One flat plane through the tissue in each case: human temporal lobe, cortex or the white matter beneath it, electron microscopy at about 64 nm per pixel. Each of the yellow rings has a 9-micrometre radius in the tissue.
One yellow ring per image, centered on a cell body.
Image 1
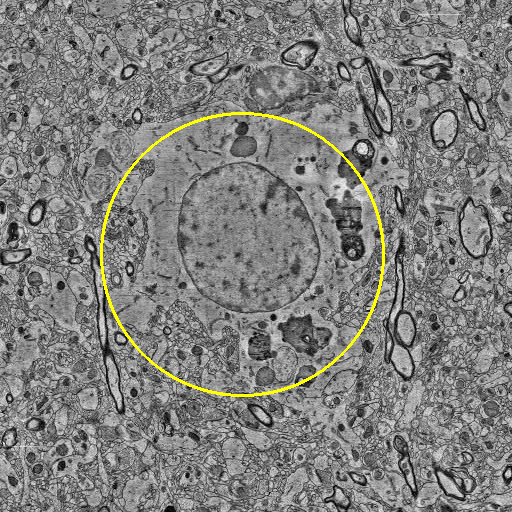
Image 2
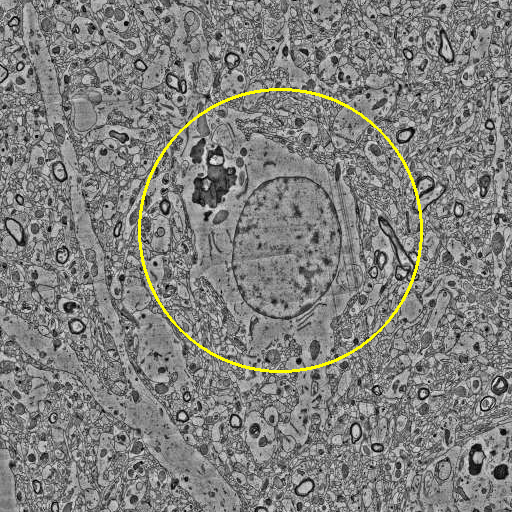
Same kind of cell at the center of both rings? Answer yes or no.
yes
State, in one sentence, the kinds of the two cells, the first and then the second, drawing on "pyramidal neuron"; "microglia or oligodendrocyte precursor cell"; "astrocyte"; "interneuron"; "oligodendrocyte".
The first and the second cell are each an astrocyte.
